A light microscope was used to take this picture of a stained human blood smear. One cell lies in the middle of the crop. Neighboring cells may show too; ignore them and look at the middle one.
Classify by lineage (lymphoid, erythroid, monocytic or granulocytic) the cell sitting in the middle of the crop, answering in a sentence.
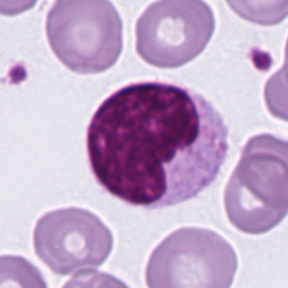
Within the lymphoid lineage lies the cell at the center of the crop.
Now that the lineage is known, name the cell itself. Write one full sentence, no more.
The cell in the exact centre of the crop is a large granular lymphocyte.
